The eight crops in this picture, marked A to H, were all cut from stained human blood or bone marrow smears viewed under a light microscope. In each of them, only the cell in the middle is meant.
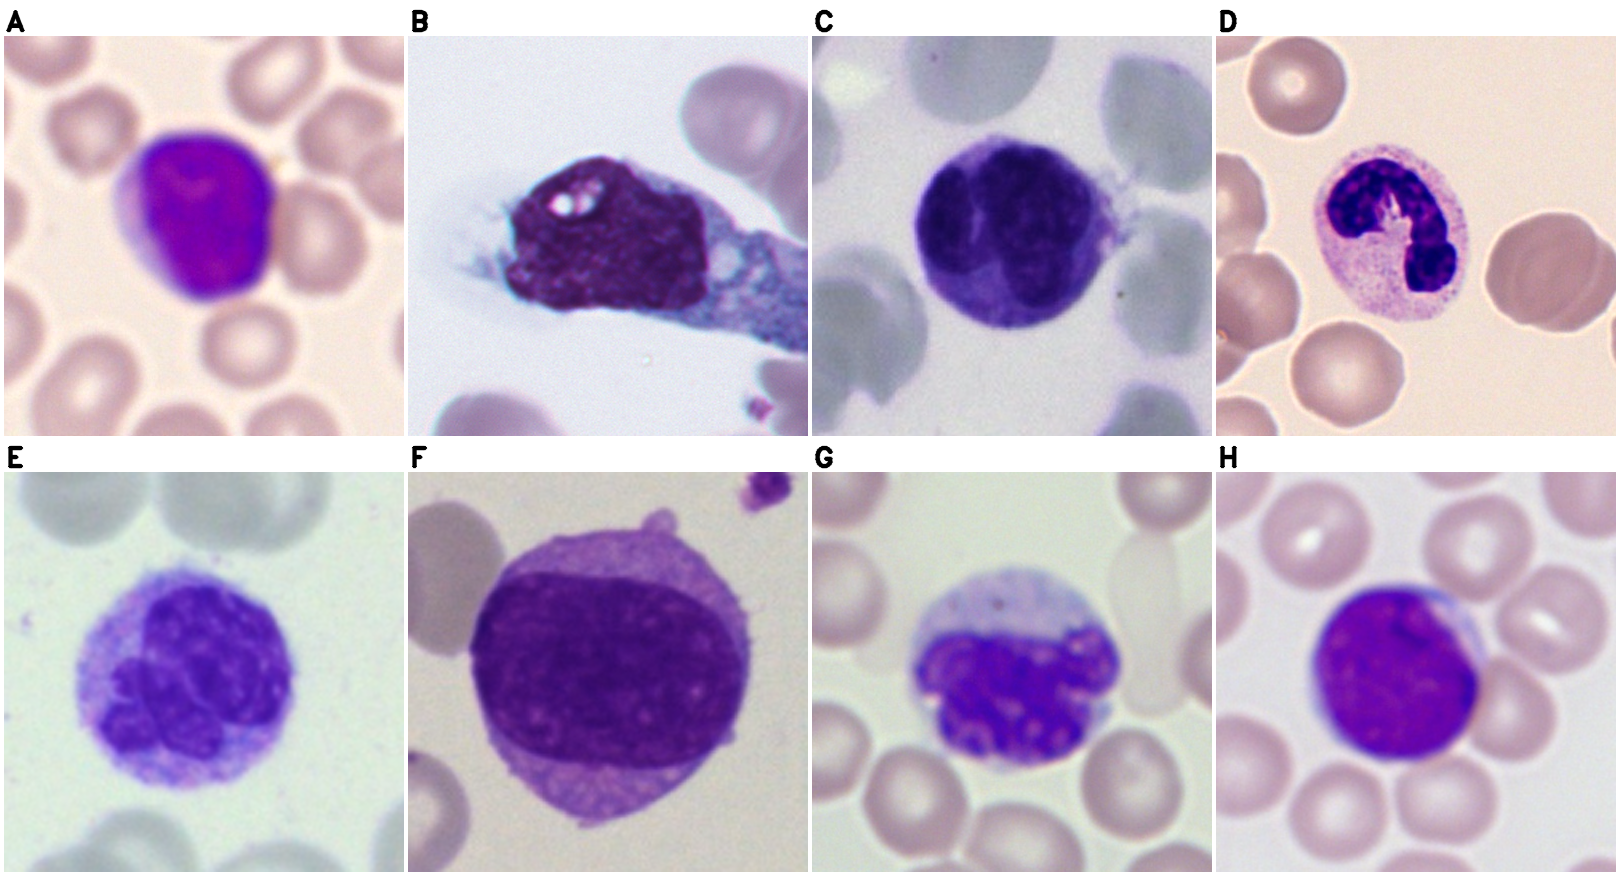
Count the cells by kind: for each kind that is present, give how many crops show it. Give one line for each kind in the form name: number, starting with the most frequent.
monocyte: 4
blast: 3
band neutrophil: 1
